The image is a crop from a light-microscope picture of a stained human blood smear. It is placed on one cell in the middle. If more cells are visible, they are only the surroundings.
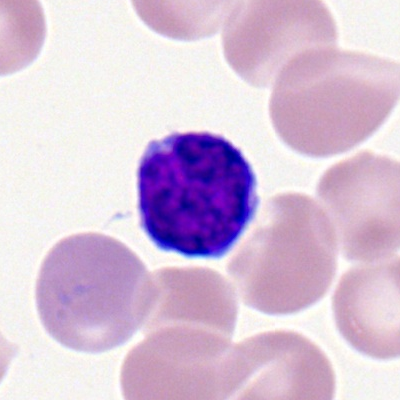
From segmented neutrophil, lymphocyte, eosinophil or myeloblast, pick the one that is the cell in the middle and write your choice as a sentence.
Whatever else lies nearby, the middle cell is a lymphocyte.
